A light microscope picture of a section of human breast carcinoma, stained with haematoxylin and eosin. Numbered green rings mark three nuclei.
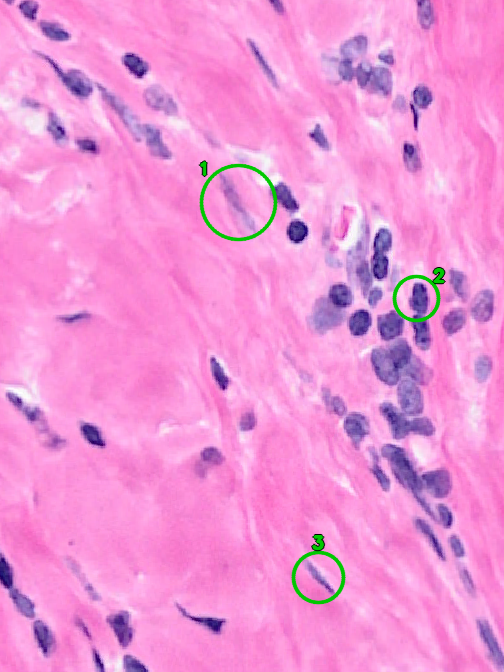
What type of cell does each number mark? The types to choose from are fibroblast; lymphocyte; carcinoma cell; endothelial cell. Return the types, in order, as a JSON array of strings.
["fibroblast", "lymphocyte", "fibroblast"]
